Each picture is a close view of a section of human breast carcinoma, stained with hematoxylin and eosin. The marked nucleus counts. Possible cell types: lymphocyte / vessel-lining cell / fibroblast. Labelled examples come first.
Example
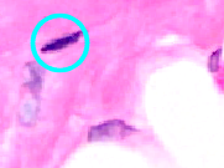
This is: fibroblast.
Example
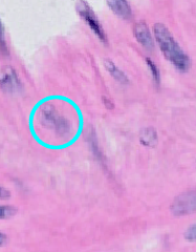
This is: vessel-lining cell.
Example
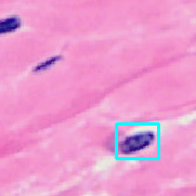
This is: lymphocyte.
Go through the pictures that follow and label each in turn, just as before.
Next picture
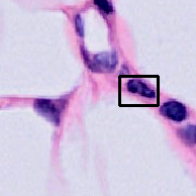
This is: lymphocyte.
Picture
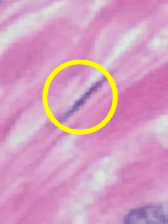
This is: fibroblast.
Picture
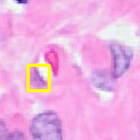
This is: vessel-lining cell.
